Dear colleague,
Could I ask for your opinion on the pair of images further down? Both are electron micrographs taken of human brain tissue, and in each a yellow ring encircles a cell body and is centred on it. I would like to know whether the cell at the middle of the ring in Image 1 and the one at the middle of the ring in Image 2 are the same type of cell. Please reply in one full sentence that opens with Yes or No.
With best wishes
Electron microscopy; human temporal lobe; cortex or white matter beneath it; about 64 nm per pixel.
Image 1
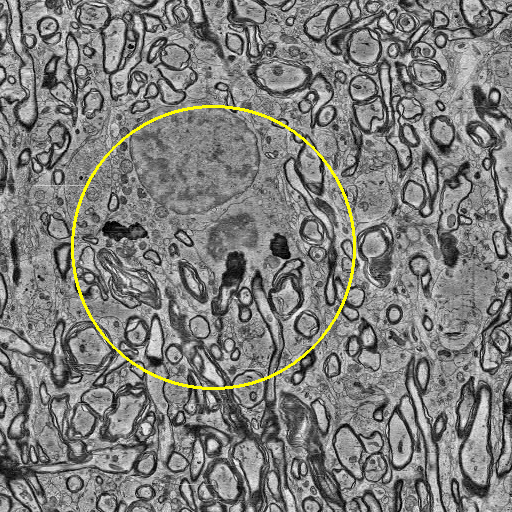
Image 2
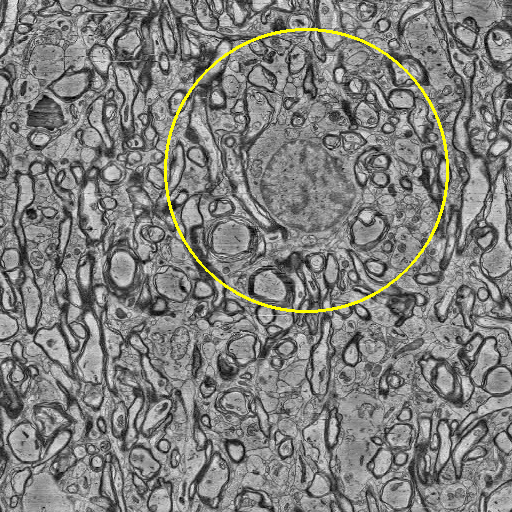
Yes, the cells at the ring centres in Image 1 and Image 2 are of one type.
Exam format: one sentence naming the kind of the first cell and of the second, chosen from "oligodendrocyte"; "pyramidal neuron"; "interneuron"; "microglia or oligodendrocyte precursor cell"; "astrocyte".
Both the first and the second picture show an oligodendrocyte in the ring.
